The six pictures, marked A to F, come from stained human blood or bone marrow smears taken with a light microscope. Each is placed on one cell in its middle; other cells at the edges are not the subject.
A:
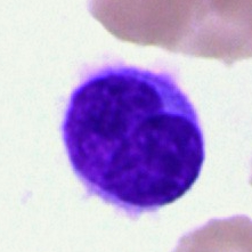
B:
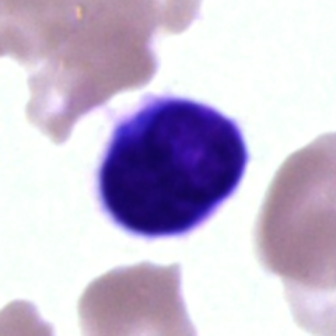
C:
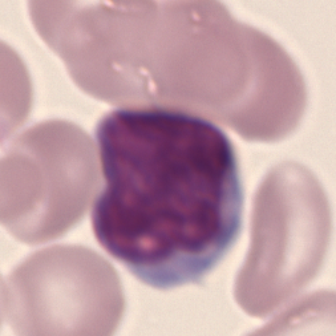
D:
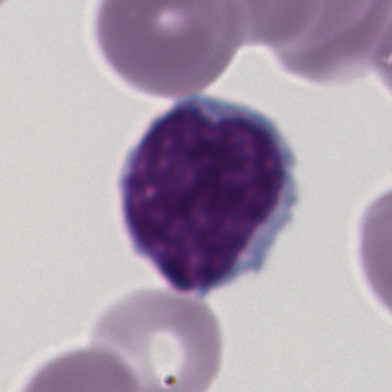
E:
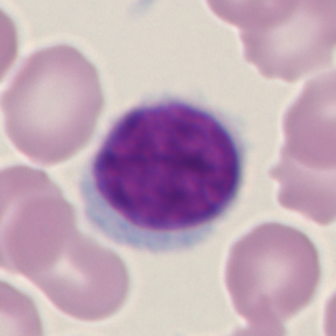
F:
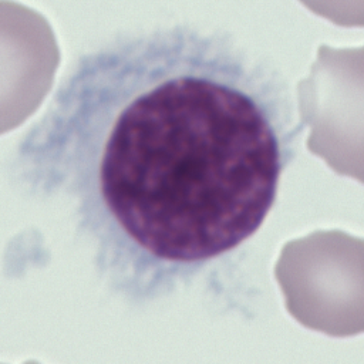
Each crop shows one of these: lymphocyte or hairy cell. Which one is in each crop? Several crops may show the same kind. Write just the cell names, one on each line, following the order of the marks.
hairy cell
lymphocyte
lymphocyte
lymphocyte
hairy cell
hairy cell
